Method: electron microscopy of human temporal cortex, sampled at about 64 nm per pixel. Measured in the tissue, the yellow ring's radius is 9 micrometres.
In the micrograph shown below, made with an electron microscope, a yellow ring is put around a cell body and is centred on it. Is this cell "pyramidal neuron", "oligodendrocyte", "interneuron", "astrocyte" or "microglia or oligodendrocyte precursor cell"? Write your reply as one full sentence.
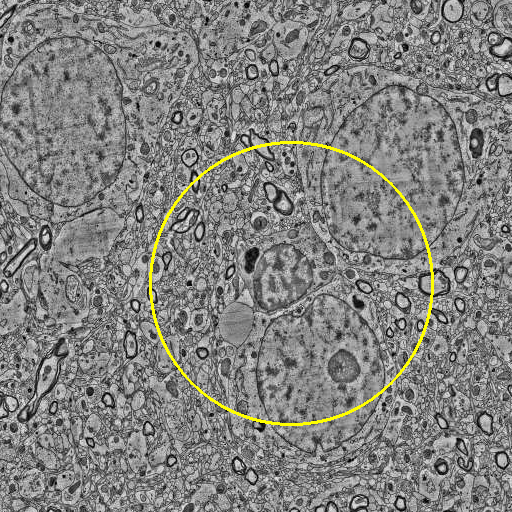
In the micrograph, an oligodendrocyte is the cell at the centre of the yellow ring.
